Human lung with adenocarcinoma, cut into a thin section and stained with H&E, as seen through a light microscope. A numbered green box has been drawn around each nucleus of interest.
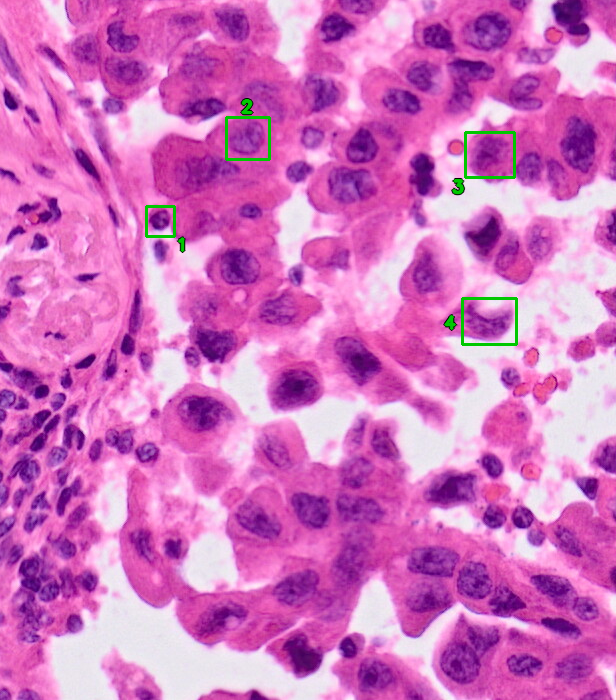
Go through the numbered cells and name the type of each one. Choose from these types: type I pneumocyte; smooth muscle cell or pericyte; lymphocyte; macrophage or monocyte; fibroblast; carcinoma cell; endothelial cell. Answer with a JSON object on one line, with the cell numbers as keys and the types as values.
{"1": "lymphocyte", "2": "carcinoma cell", "3": "carcinoma cell", "4": "carcinoma cell"}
